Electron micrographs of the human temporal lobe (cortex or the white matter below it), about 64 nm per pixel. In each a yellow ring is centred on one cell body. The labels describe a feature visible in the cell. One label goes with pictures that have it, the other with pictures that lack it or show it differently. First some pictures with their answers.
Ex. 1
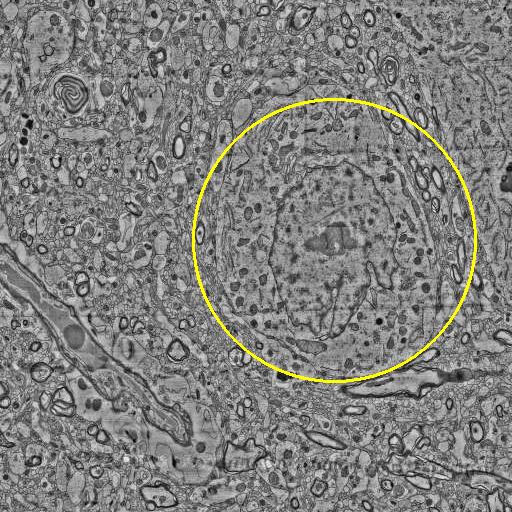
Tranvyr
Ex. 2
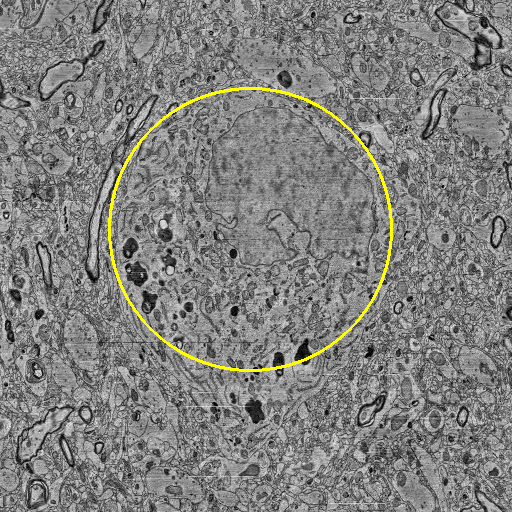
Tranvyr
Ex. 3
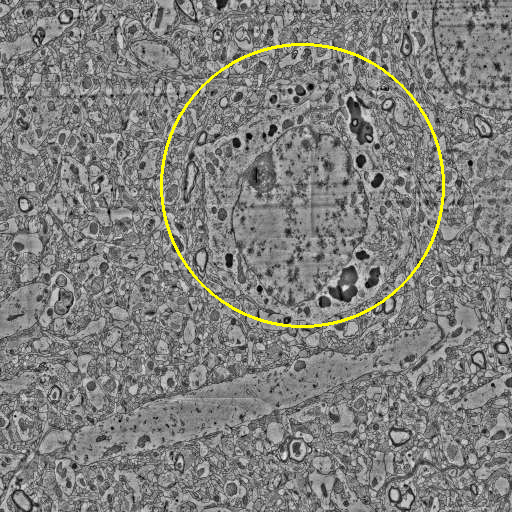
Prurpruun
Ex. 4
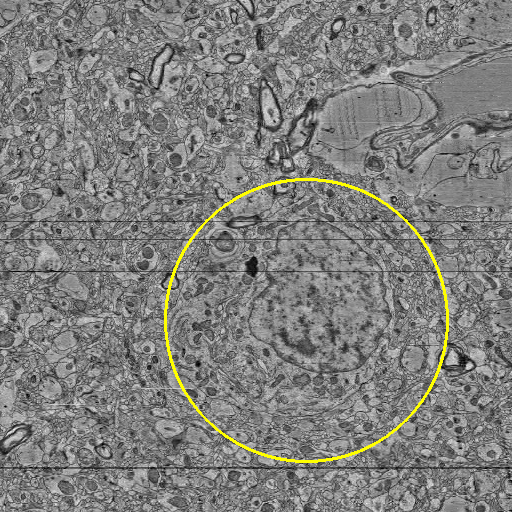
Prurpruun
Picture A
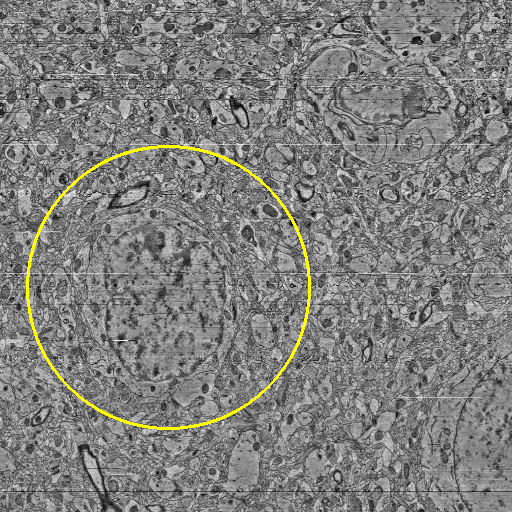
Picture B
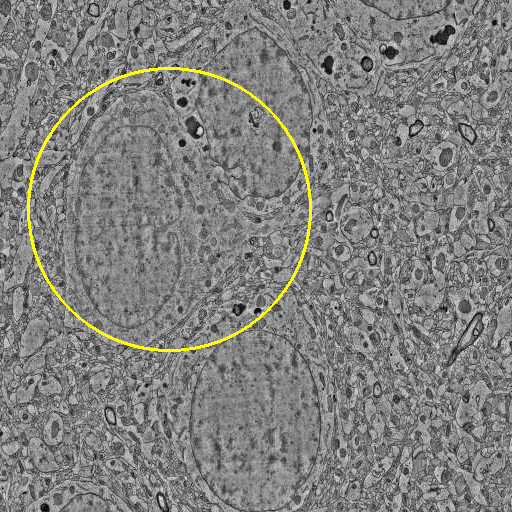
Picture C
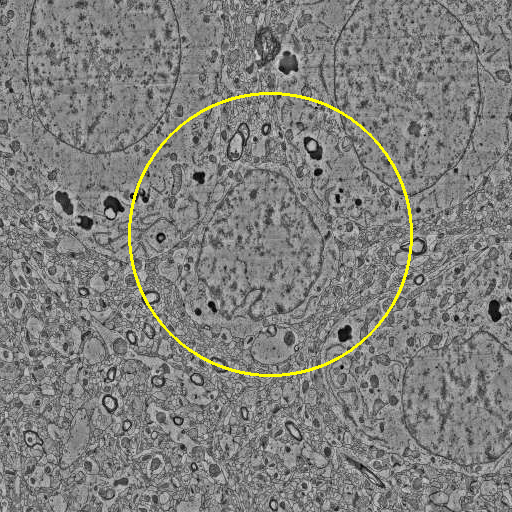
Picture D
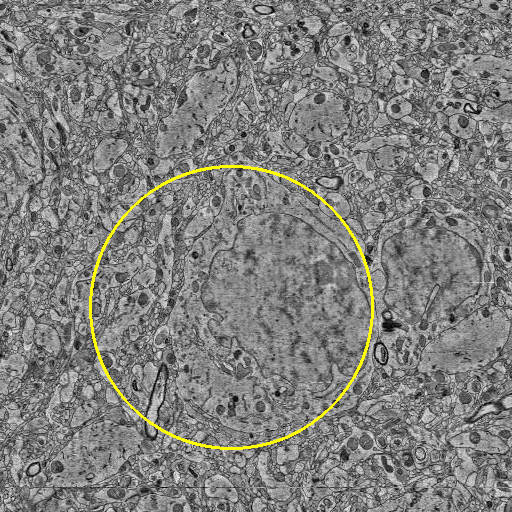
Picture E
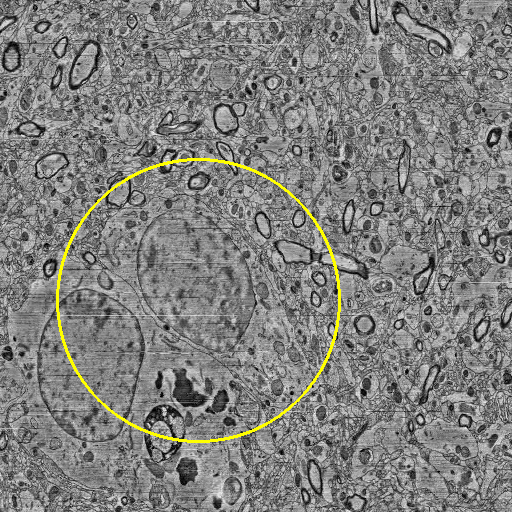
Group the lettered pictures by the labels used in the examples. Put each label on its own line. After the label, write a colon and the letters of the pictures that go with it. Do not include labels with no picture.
Tranvyr: C, D
Prurpruun: A, B, E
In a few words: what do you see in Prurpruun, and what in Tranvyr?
In Prurpruun: smooth nuclear envelopes without deep folds. In Tranvyr: deeply folded or indented nuclear envelopes.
